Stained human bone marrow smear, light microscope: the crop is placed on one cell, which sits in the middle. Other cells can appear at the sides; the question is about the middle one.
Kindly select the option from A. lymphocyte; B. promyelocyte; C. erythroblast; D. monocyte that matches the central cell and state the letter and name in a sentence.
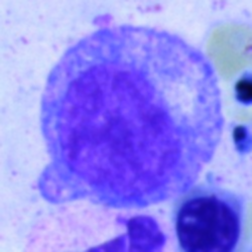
The correct option here is B; the middle cell is a promyelocyte.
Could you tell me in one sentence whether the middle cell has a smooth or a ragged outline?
Along the periphery, ragged stretches or projections make the outline irregular.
